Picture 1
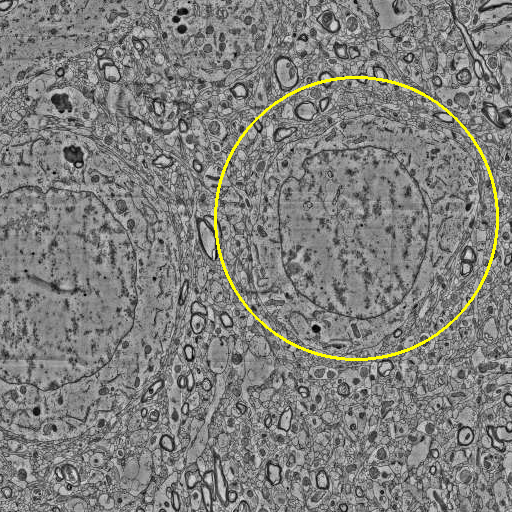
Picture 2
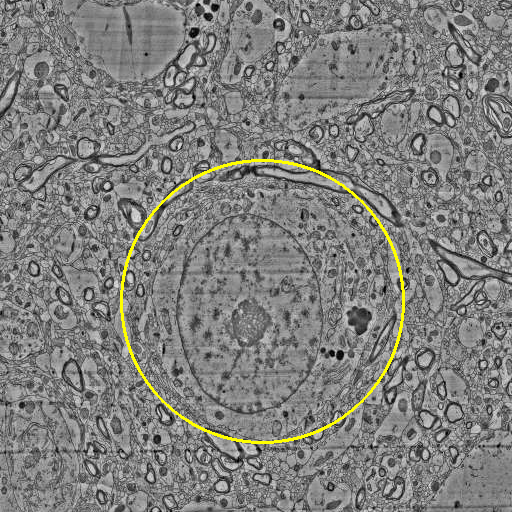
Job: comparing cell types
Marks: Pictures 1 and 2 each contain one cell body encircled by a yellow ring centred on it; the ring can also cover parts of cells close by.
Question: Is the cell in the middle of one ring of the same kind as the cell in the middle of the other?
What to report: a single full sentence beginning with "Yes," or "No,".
No, the cell at the ring centre in Picture 1 and its partner in Picture 2 are of two kinds.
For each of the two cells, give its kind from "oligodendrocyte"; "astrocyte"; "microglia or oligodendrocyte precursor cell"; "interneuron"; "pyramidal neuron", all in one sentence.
The first picture has a pyramidal neuron in its ring, the second has an interneuron.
